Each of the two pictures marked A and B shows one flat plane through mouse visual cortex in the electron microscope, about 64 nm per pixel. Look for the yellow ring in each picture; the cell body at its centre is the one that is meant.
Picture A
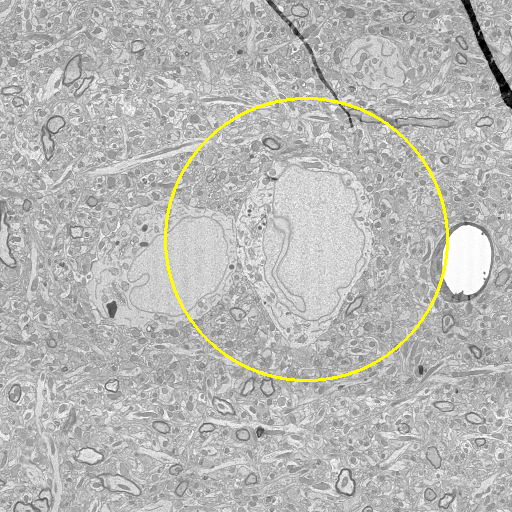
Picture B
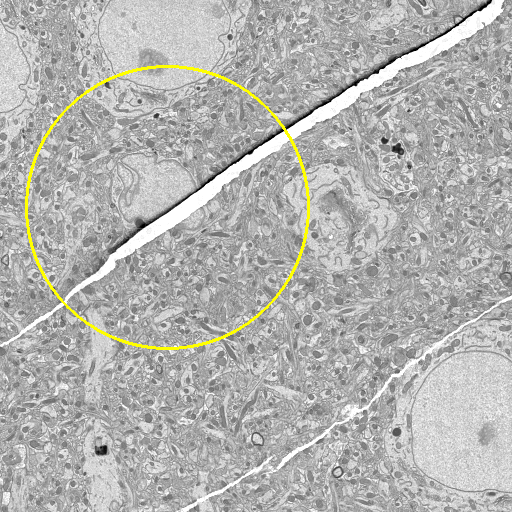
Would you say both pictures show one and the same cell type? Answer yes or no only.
no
